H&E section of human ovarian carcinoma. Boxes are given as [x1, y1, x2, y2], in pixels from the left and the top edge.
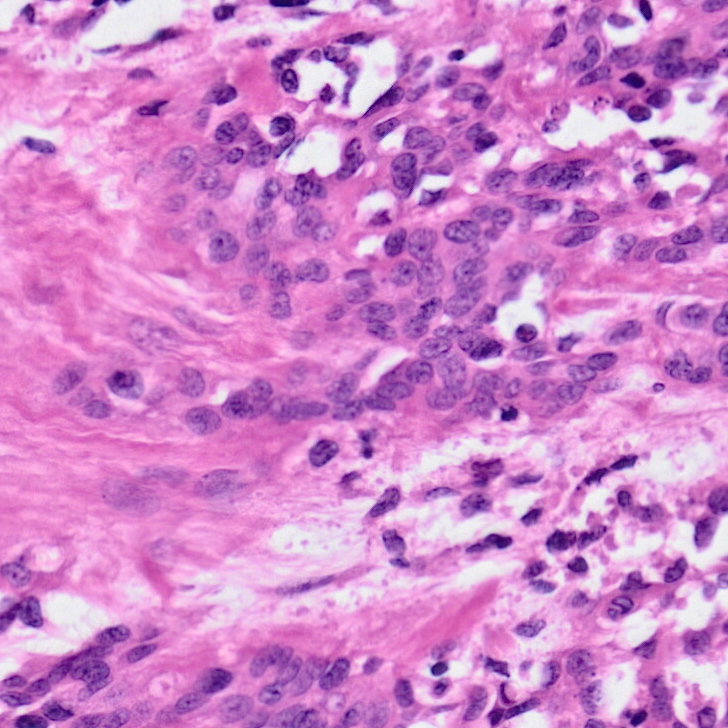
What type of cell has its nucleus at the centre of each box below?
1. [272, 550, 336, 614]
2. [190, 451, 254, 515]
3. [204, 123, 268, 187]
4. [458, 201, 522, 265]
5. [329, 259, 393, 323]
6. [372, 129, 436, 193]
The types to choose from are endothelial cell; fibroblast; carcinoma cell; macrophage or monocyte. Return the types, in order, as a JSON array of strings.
["fibroblast", "fibroblast", "carcinoma cell", "carcinoma cell", "carcinoma cell", "carcinoma cell"]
